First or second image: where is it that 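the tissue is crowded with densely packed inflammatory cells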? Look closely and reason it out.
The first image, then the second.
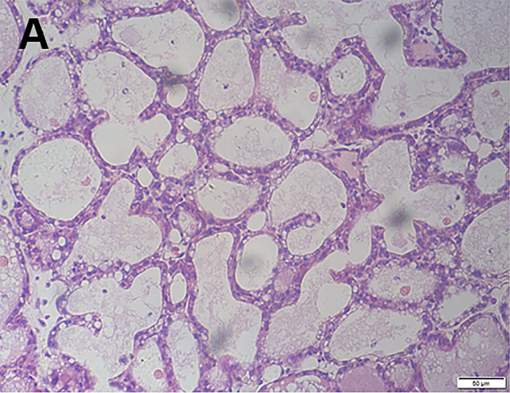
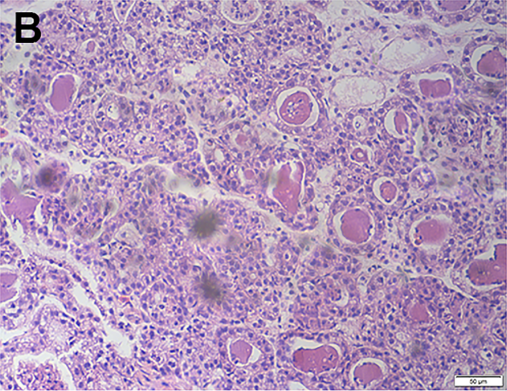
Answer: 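Second image: dense sheets of small dark-nucleated cells fill much of the field, alveoli are small. First image: wide open alveoli lined by thin epithelium with few cells between them.
The second image.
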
